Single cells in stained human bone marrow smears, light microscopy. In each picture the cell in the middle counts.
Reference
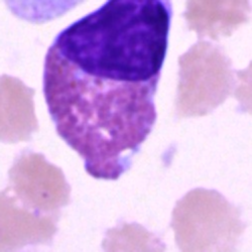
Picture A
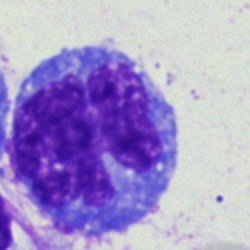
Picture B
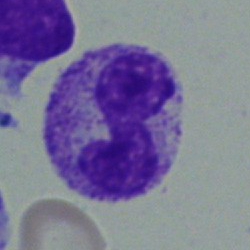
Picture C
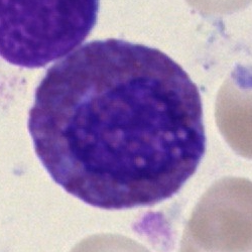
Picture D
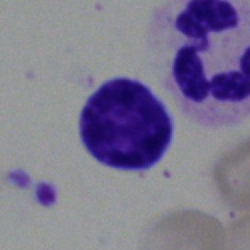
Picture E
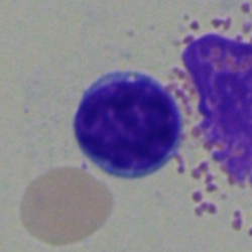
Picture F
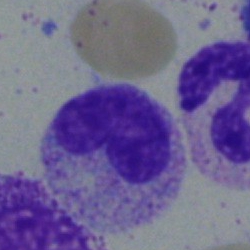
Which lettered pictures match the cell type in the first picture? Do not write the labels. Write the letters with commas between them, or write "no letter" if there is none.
C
